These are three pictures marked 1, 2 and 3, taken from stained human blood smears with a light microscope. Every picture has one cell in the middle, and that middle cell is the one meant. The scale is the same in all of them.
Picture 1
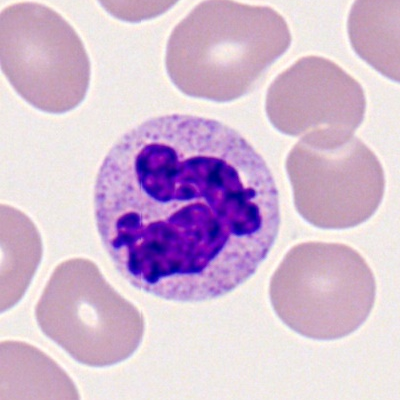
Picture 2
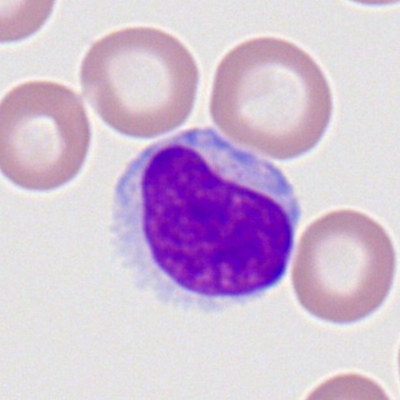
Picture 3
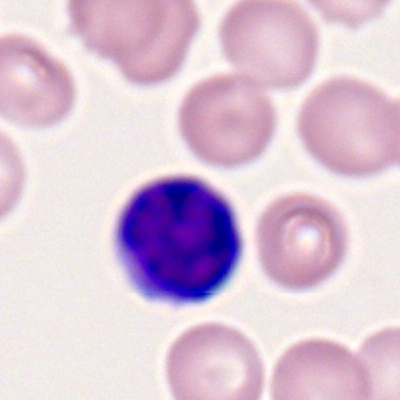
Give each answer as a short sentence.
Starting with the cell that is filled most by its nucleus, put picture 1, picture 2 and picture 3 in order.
They run 3, 2, 1, the most filled first.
